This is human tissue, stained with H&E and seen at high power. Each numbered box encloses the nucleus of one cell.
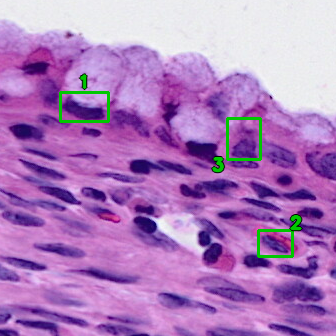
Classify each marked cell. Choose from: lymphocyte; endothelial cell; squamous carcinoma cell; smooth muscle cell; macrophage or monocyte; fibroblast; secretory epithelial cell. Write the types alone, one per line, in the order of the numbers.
secretory epithelial cell
endothelial cell
secretory epithelial cell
